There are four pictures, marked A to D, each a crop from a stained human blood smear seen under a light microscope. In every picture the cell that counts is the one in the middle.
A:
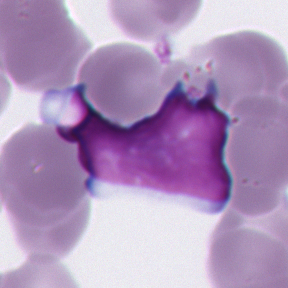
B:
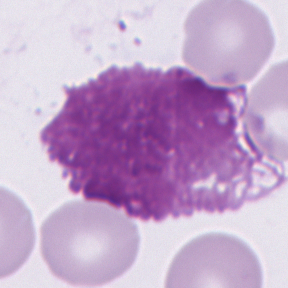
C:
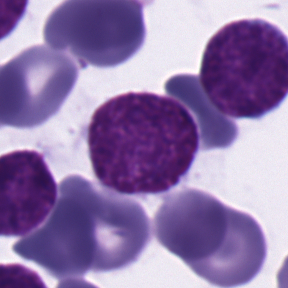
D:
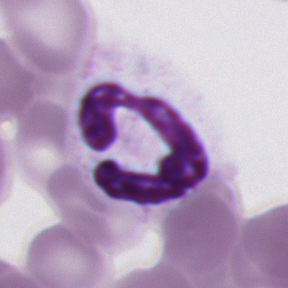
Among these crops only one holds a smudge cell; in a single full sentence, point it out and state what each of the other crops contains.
Crop B is recognised as a smudge cell, whereas crop A is a typical lymphocyte, crop C is a myeloblast and crop D is a neutrophil.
